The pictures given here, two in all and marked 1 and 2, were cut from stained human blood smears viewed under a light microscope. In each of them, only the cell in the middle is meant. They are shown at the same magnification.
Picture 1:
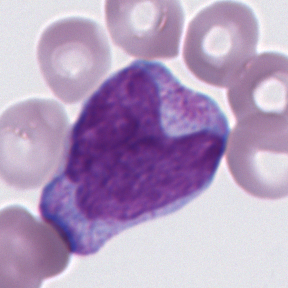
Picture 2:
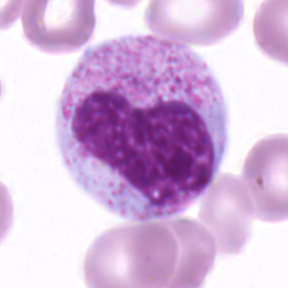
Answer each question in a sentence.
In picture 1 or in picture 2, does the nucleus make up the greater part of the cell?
In picture 1 the nucleus takes up the larger part of its cell.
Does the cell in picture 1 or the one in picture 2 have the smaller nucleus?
Picture 2 shows the smaller nucleus, since that in picture 1 covers about 1.5 times as much area.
